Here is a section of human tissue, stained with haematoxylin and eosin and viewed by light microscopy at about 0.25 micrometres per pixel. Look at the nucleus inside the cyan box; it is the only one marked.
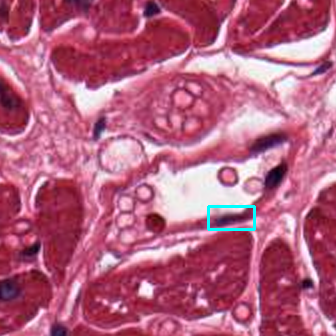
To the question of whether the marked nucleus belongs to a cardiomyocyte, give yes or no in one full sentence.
No, the marked nucleus is to be assigned to a supporting cell, not to a cardiomyocyte.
